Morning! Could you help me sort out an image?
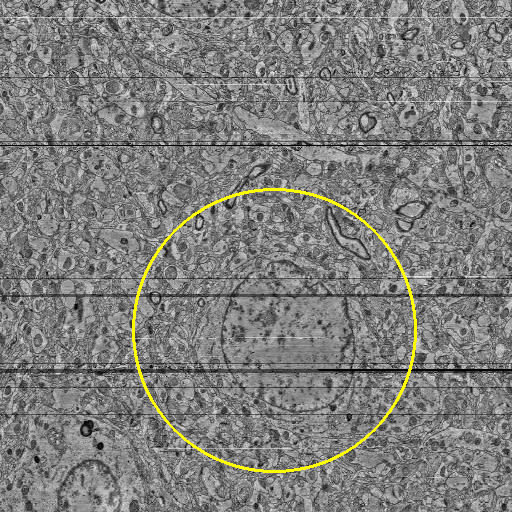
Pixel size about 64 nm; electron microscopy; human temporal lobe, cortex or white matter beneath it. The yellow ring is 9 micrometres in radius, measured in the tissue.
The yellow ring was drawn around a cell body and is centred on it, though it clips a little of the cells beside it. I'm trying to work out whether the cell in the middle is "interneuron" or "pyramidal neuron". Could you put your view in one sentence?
The ringed cell body is that of a pyramidal neuron.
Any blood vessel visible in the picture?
No, no vessel appears in the picture.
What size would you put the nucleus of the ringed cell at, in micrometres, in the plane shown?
In this plane, approximately 10 by 8 micrometers.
